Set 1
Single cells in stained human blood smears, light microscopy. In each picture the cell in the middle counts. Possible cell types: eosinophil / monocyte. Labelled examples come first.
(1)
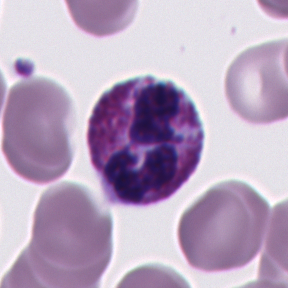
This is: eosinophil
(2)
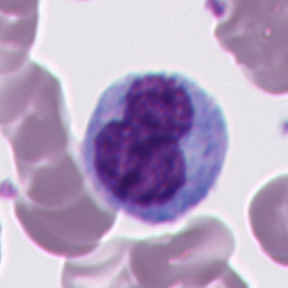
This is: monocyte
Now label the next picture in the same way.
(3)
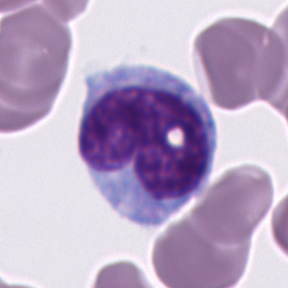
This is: monocyte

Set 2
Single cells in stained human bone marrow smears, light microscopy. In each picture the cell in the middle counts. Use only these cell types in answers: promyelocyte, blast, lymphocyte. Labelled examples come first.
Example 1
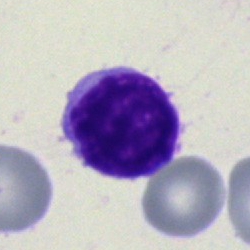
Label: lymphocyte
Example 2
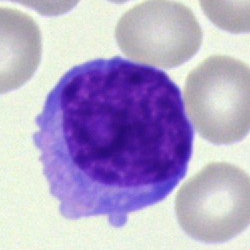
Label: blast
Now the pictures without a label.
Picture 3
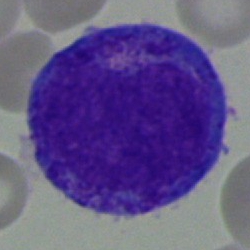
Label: promyelocyte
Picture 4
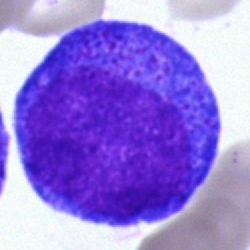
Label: promyelocyte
